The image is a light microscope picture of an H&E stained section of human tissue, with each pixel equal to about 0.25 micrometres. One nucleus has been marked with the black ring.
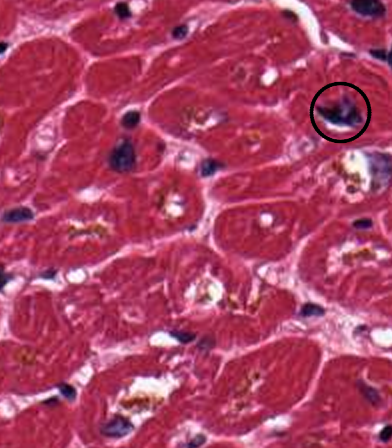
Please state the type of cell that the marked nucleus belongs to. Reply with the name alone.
cardiomyocyte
